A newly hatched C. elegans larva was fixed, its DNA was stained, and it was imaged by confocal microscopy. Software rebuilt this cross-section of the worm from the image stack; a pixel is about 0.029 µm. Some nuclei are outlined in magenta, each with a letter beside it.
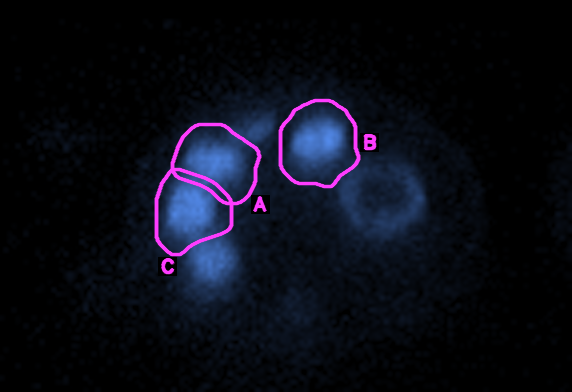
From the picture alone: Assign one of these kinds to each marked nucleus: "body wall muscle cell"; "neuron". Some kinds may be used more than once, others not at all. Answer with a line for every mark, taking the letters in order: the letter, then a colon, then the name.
A: body wall muscle cell
B: neuron
C: neuron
